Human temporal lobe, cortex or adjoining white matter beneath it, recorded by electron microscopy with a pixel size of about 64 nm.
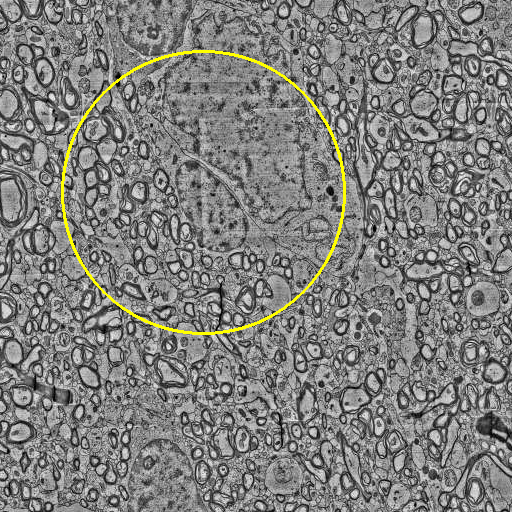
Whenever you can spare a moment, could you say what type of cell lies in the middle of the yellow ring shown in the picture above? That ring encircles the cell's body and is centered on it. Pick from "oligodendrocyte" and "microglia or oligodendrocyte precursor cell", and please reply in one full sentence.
The cell whose body sits at the middle of the yellow ring is a microglial cell or oligodendrocyte precursor cell.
